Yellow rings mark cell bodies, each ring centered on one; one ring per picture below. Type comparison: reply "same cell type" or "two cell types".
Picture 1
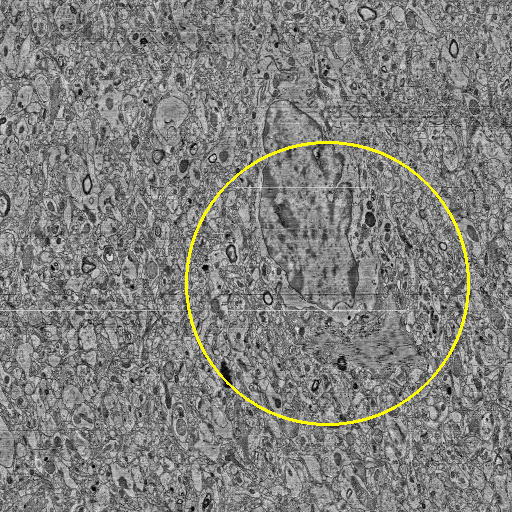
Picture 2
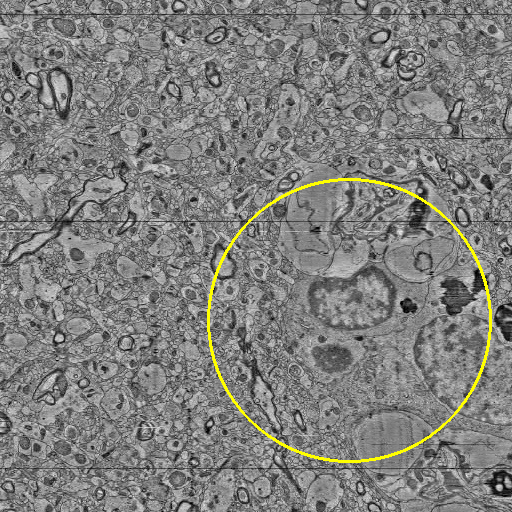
two cell types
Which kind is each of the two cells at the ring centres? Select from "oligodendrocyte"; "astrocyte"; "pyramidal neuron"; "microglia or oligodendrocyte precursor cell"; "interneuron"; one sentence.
The cell at the centre of the ring is a microglial cell or oligodendrocyte precursor cell in the first picture and an oligodendrocyte in the second.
